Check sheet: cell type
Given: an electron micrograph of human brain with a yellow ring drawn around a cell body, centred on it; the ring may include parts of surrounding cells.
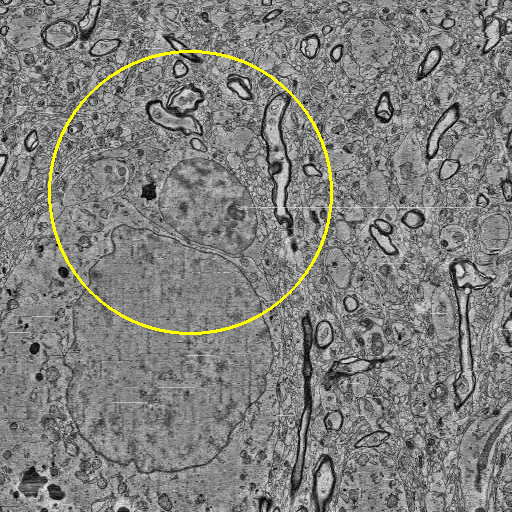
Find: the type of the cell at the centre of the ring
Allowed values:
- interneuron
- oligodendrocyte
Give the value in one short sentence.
Here the ringed cell is an oligodendrocyte.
